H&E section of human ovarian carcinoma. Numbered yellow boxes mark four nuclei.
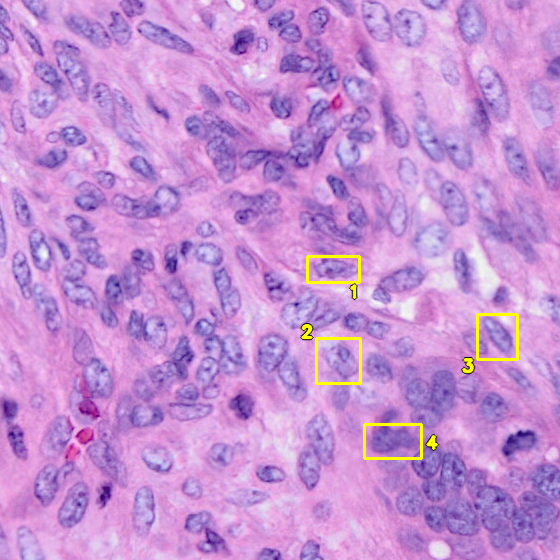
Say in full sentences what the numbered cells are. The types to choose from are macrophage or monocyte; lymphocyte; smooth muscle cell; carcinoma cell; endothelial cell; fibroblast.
Cell 1 is a fibroblast, cell 2 is a fibroblast, cell 3 is a fibroblast and cell 4 is a carcinoma cell.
